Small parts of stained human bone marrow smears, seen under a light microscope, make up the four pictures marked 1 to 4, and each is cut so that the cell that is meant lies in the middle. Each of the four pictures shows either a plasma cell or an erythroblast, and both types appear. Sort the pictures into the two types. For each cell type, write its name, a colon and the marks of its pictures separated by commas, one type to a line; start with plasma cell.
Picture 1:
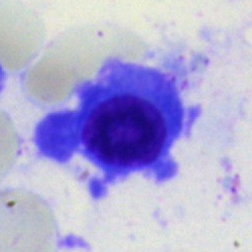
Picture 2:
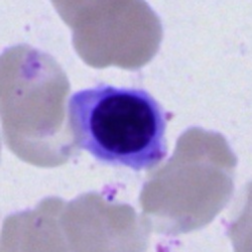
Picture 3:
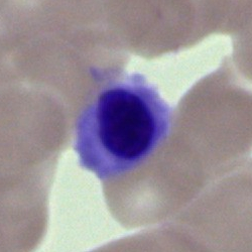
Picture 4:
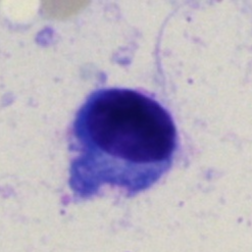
plasma cell: 4
erythroblast: 1, 2, 3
